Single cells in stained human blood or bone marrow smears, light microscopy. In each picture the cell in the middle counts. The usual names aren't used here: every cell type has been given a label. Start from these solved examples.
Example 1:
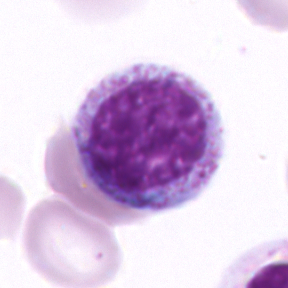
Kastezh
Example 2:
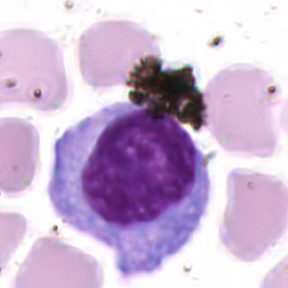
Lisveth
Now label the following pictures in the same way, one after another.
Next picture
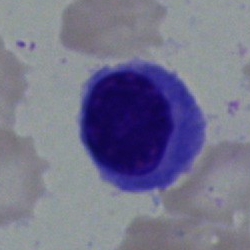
Lisveth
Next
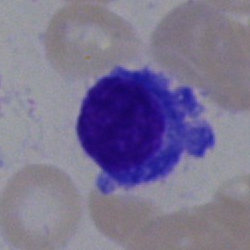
Lisveth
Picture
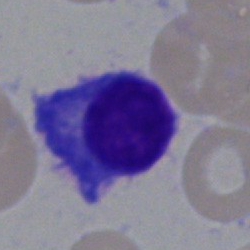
Lisveth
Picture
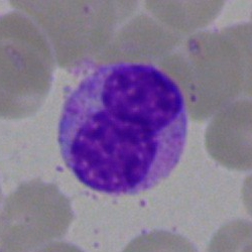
Kastezh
